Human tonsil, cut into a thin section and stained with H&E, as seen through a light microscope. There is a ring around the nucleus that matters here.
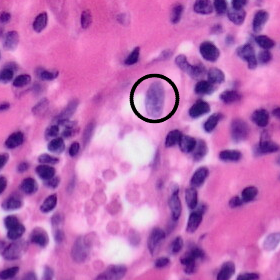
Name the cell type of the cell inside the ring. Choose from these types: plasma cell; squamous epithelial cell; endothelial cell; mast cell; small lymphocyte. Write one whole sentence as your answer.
It is an endothelial cell that the cell inside the ring represents.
